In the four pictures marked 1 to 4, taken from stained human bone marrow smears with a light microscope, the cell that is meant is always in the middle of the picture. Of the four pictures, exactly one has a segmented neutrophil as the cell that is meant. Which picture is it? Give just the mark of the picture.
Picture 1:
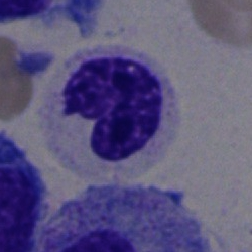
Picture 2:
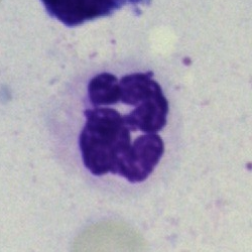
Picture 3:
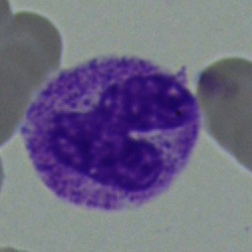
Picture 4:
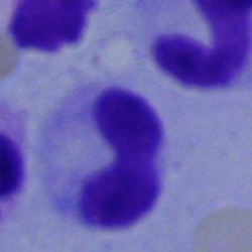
2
